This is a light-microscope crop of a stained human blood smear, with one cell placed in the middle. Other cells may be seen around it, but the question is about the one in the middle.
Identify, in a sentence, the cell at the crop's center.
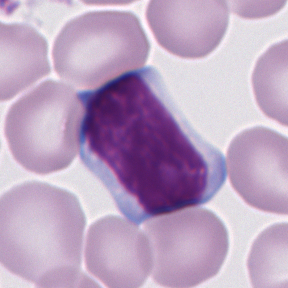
The cell at the heart of this crop is a typical lymphocyte.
